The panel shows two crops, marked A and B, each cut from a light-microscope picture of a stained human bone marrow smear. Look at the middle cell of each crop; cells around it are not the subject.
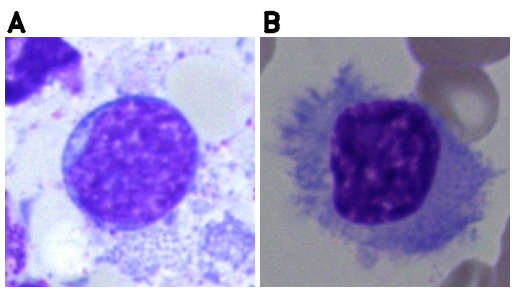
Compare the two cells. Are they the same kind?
no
